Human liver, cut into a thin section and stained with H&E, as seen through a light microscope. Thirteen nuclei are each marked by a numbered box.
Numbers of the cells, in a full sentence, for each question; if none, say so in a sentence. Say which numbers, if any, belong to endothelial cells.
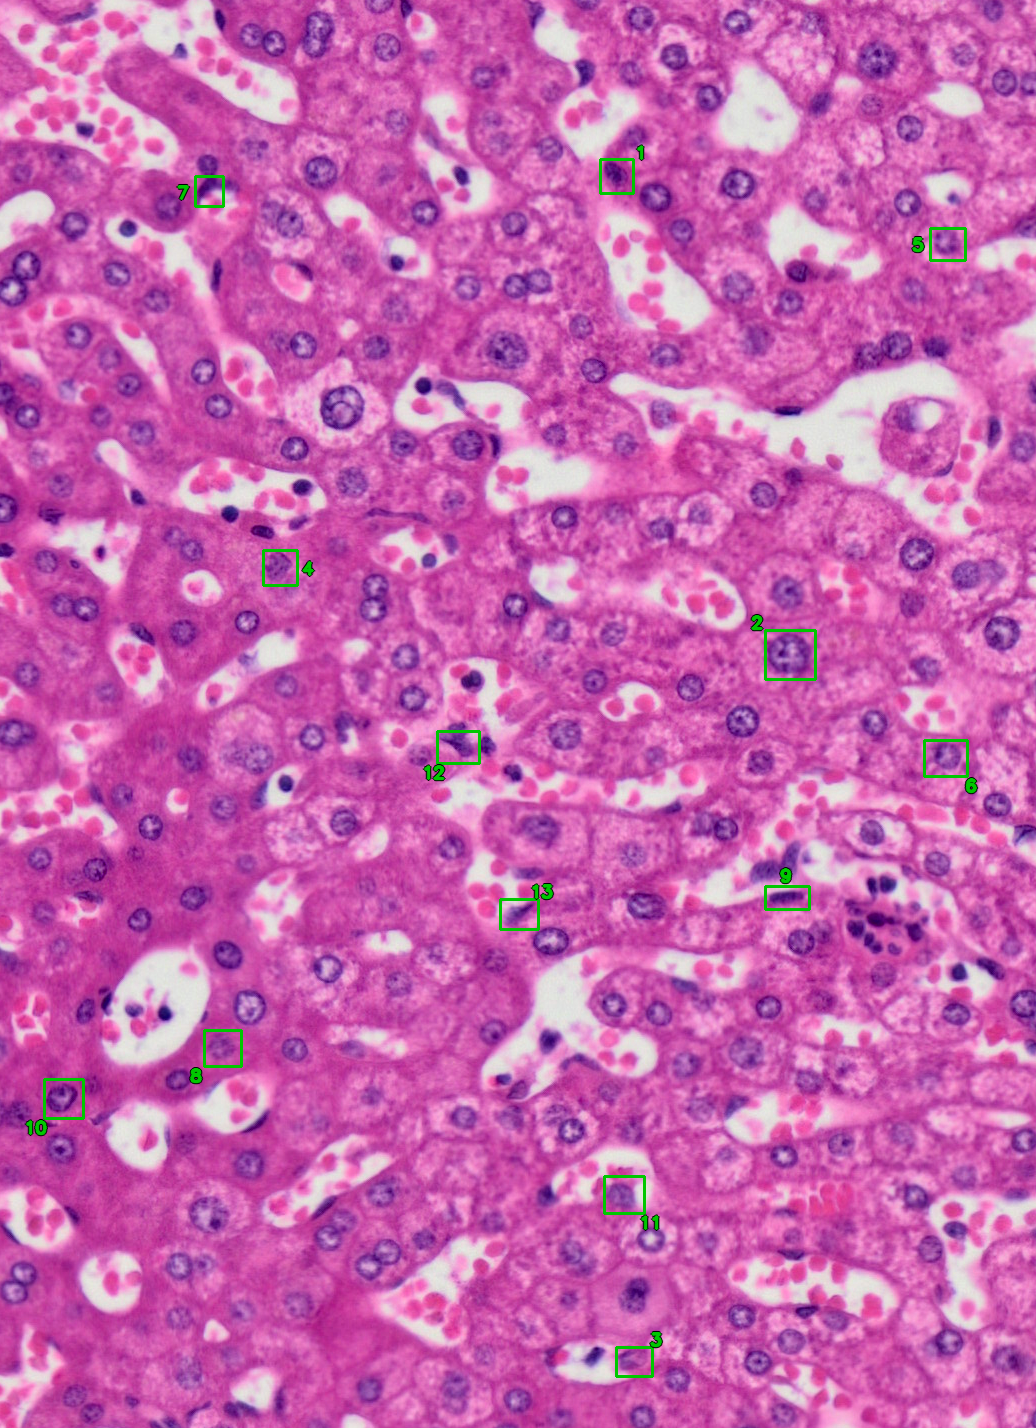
Cell 13 is an endothelial cell, and that holds for no other numbered cell.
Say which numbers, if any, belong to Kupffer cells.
The cells numbered 3 and 11 are typed as Kupffer cells.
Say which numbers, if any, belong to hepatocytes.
The cells tagged with numbers 2, 4, 5, 6, 8 and 10 are hepatocytes.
